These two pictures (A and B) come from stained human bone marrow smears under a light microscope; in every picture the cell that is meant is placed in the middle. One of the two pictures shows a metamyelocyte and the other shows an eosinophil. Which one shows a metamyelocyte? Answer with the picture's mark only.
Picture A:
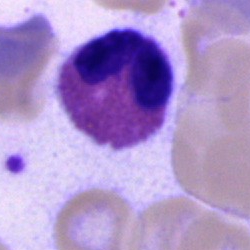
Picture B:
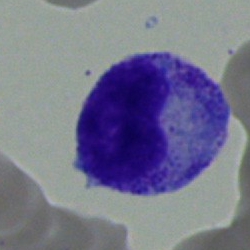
B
